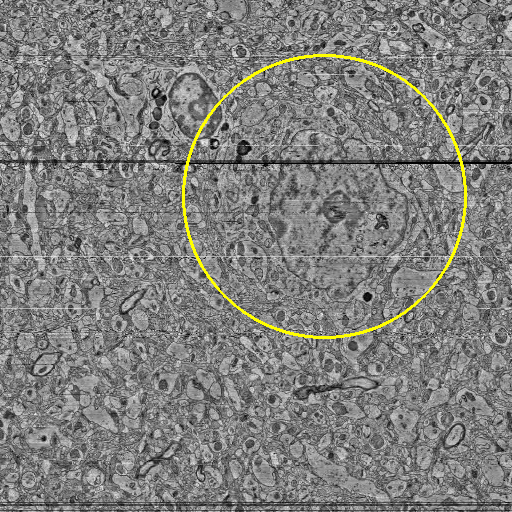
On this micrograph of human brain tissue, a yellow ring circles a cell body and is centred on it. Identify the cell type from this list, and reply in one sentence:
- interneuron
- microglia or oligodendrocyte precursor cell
The cell at the centre is an interneuron.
